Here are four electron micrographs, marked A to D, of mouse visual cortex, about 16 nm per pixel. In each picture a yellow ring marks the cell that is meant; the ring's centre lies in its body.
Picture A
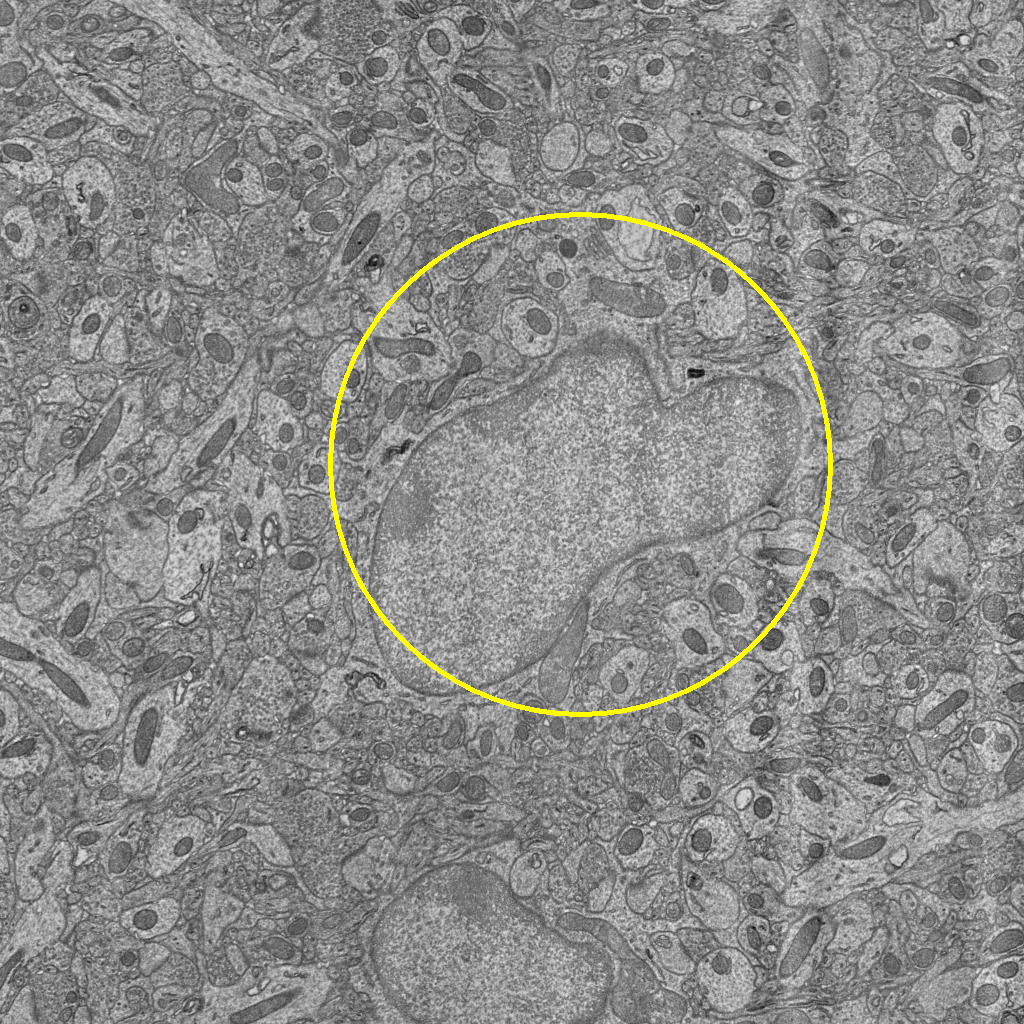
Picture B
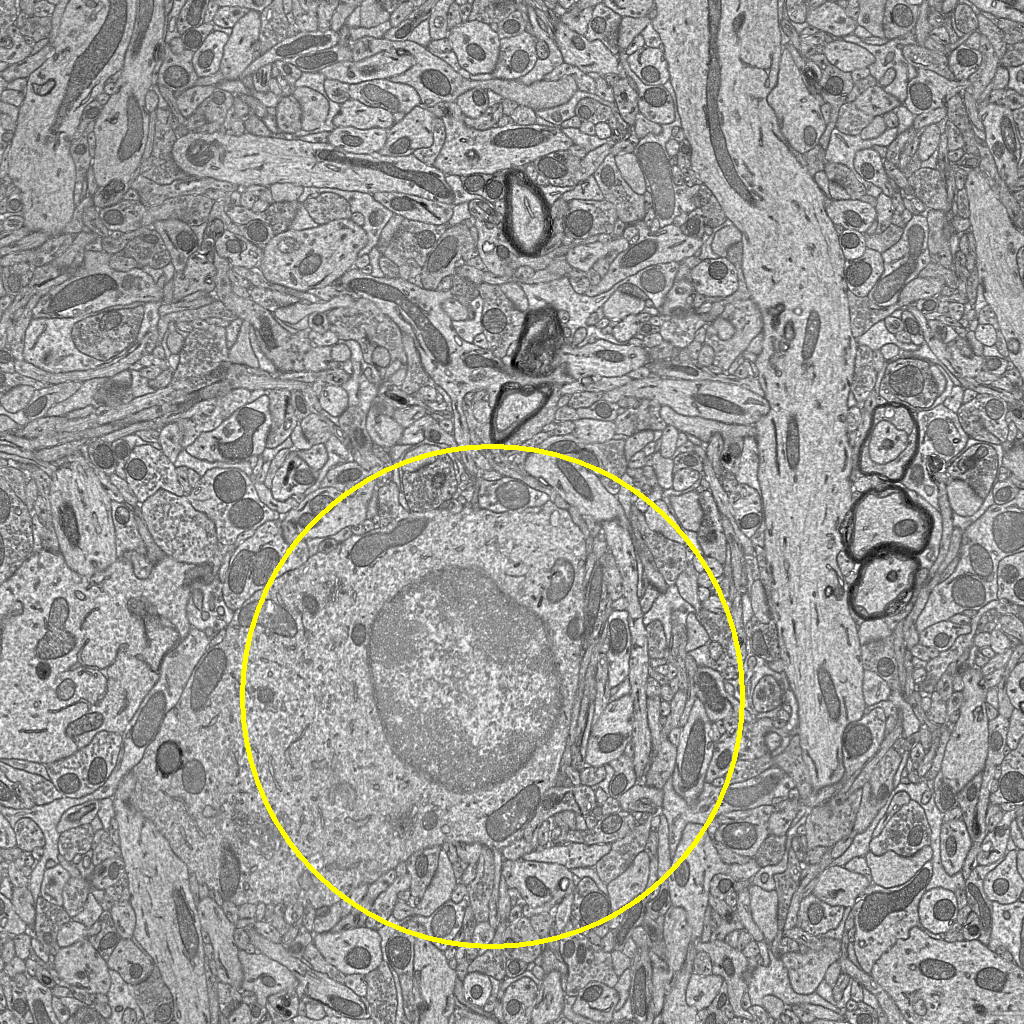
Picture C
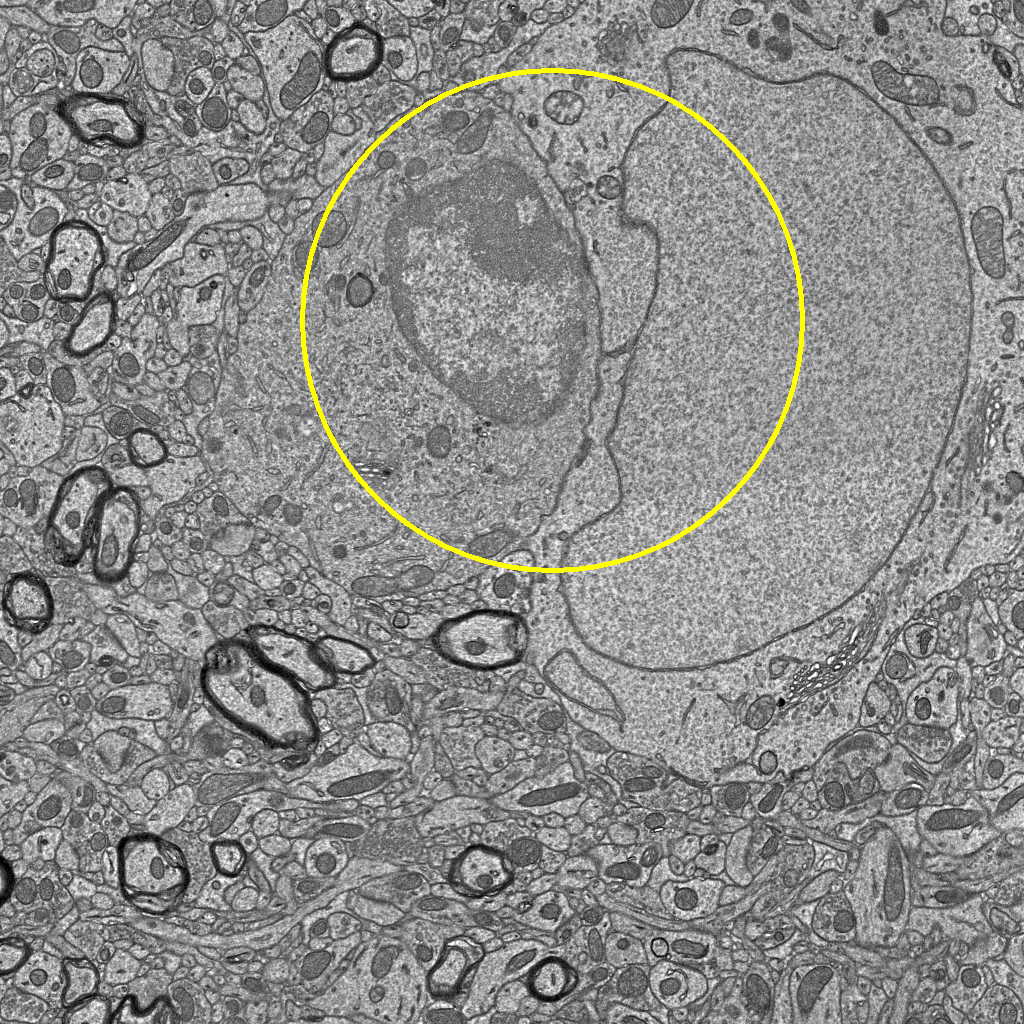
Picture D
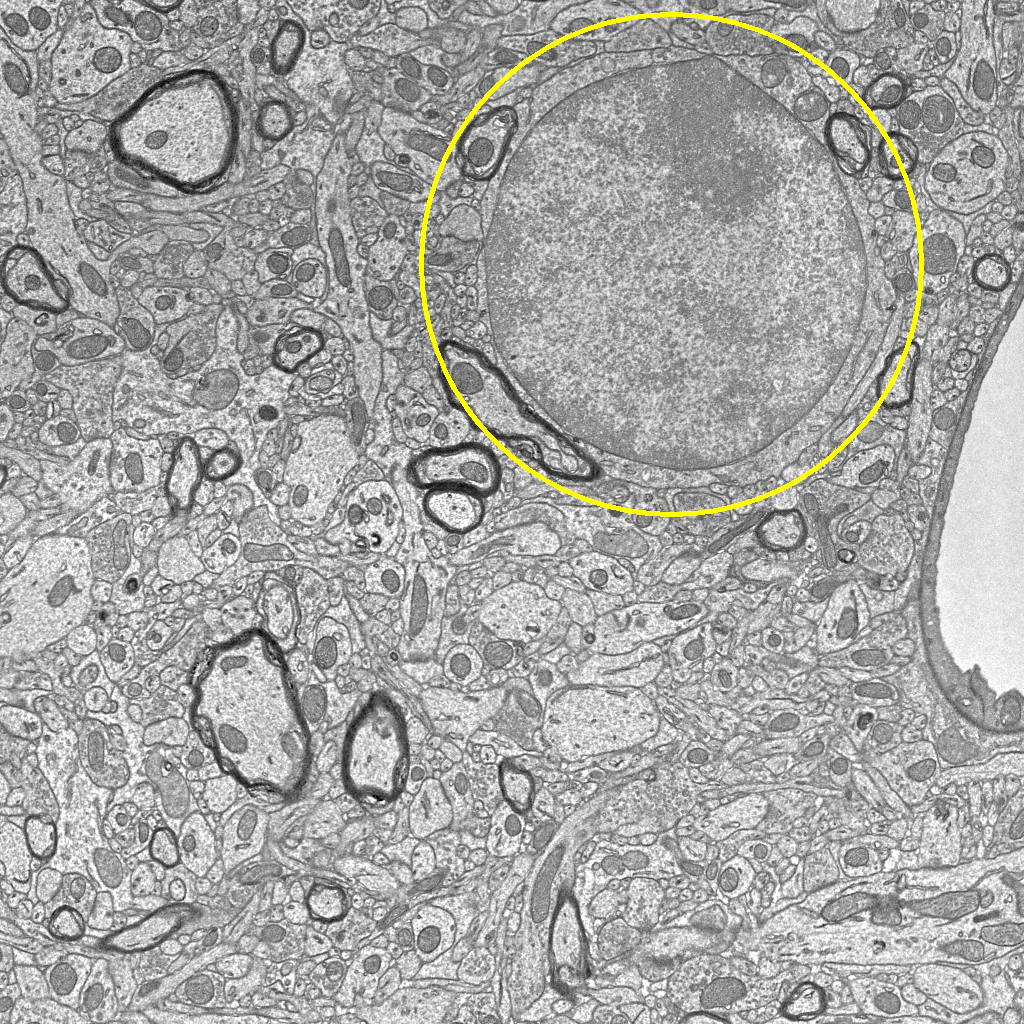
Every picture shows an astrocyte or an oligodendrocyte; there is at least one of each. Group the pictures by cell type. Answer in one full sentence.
Picture A shows an astrocyte, while pictures B, C and D show oligodendrocytes.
